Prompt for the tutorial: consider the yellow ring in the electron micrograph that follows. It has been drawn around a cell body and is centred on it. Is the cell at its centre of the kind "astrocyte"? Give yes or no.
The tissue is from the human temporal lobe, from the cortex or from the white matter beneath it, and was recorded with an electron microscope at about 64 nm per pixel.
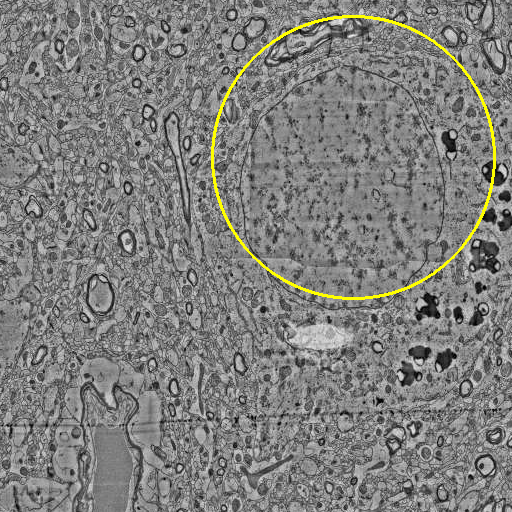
no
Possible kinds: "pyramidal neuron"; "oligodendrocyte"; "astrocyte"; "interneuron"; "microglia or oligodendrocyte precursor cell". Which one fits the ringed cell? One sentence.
This picture has a pyramidal neuron at the centre of its ring.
